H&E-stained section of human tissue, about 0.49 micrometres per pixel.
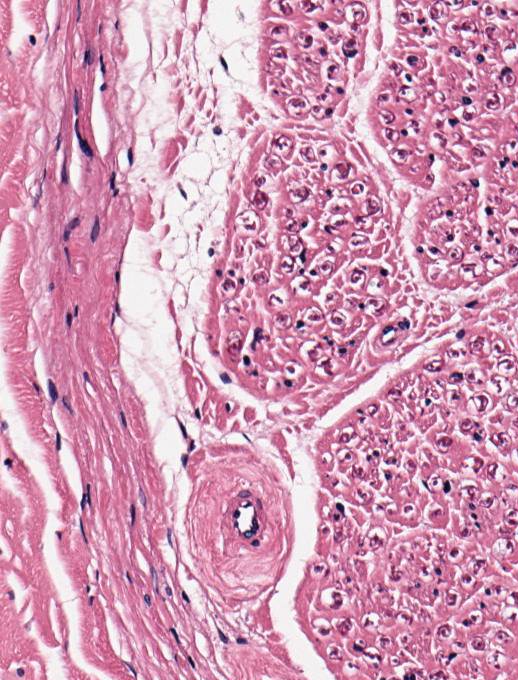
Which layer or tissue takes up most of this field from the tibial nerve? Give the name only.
nerve fascicle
